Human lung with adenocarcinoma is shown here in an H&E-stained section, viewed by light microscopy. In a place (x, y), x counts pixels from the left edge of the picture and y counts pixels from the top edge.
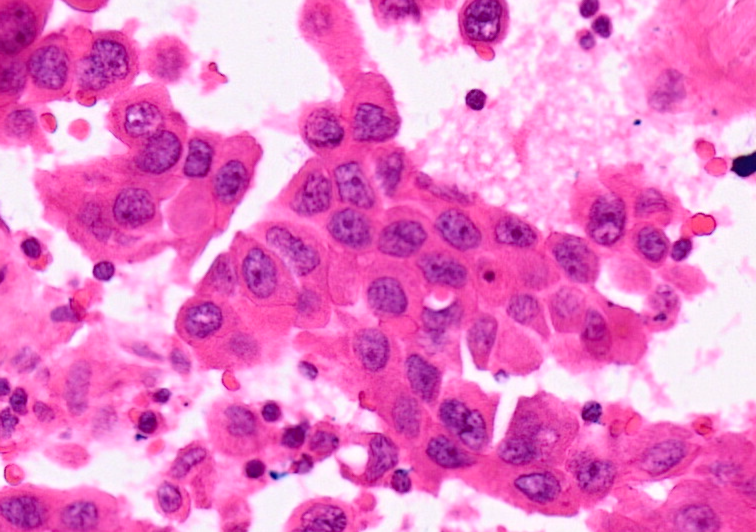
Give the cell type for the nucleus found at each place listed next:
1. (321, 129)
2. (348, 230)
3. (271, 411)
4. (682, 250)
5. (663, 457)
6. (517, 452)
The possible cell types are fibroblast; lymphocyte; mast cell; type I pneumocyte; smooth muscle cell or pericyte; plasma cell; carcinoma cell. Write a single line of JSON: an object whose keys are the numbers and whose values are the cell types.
{"1": "carcinoma cell", "2": "carcinoma cell", "3": "lymphocyte", "4": "lymphocyte", "5": "carcinoma cell", "6": "carcinoma cell"}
